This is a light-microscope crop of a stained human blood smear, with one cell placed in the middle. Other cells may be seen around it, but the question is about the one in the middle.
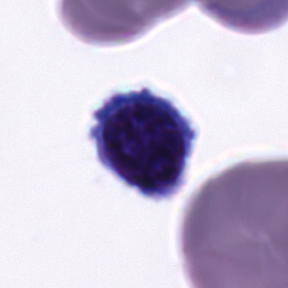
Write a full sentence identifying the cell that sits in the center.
In the middle of this smear crop is a plasma cell.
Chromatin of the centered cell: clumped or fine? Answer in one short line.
The nucleus shows chromatin that is coarsely clumped.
